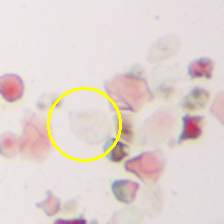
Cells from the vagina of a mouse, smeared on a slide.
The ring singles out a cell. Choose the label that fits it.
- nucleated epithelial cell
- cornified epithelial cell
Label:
cornified epithelial cell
